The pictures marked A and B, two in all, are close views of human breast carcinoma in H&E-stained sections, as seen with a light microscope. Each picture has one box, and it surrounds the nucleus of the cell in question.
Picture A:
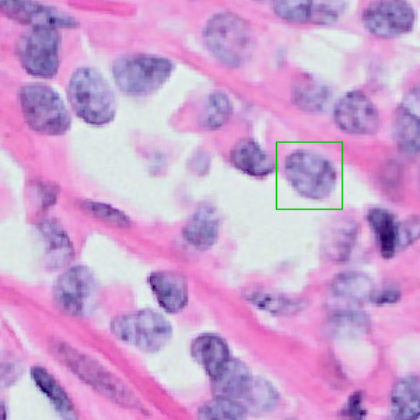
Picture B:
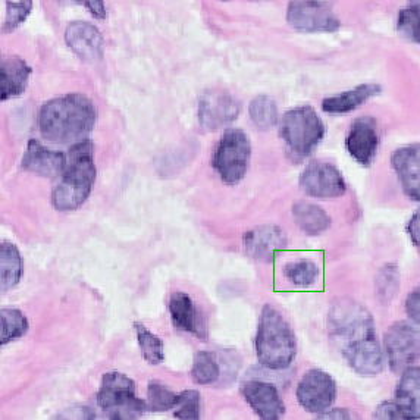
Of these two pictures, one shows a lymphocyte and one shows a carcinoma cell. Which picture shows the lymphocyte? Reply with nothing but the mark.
B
